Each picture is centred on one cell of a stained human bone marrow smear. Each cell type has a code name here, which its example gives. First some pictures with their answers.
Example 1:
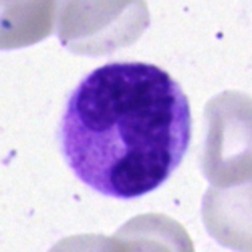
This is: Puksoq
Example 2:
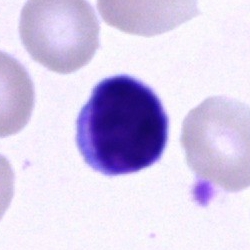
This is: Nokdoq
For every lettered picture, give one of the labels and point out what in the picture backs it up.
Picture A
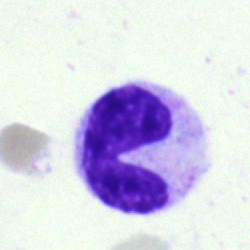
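Answer: Puksoq. The nucleus is deeply indented into a C shape, with the notch opening to the right.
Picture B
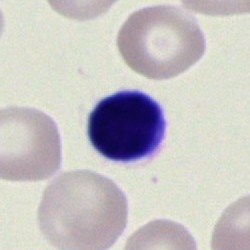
Answer: Nokdoq. The nucleus fills almost the whole cell.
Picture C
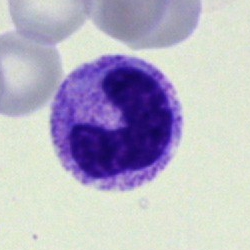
Answer: Puksoq. The nucleus is curved like a horseshoe, with its open side facing left.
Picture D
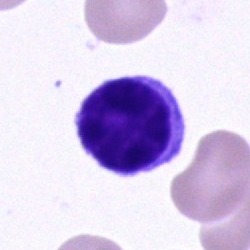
Answer: Nokdoq. The nucleus fills most of the cell.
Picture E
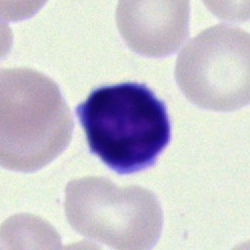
Answer: Nokdoq. The nucleus fills almost the whole cell.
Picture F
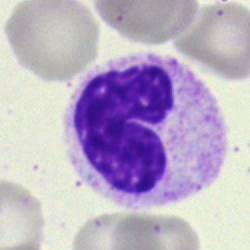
Answer: Puksoq. The cytoplasm is plentiful and pale pinkish-lilac.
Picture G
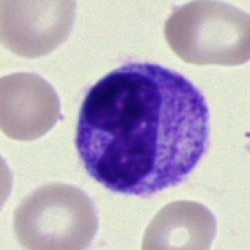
Answer: Puksoq. The cytoplasm forms a broad zone on the right side of the cell.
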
